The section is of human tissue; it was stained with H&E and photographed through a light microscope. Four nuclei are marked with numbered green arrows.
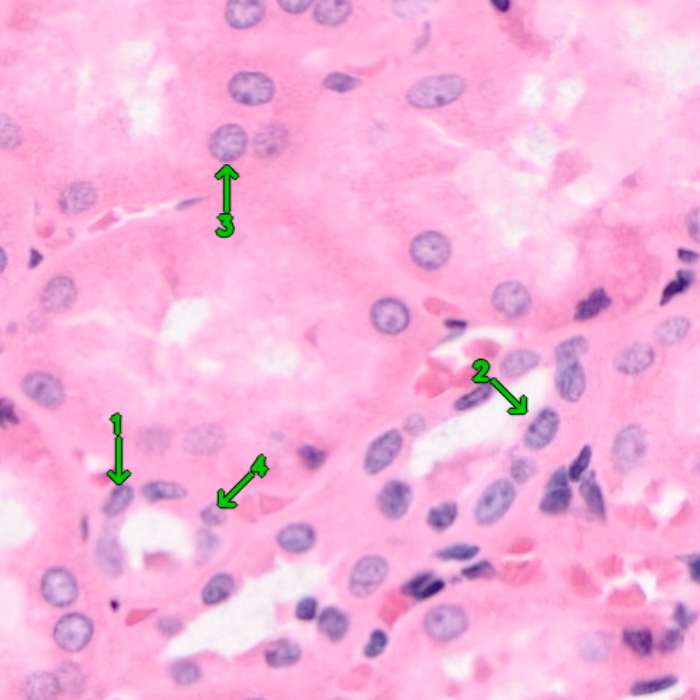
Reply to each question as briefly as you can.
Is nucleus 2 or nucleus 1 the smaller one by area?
1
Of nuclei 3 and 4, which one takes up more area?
3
